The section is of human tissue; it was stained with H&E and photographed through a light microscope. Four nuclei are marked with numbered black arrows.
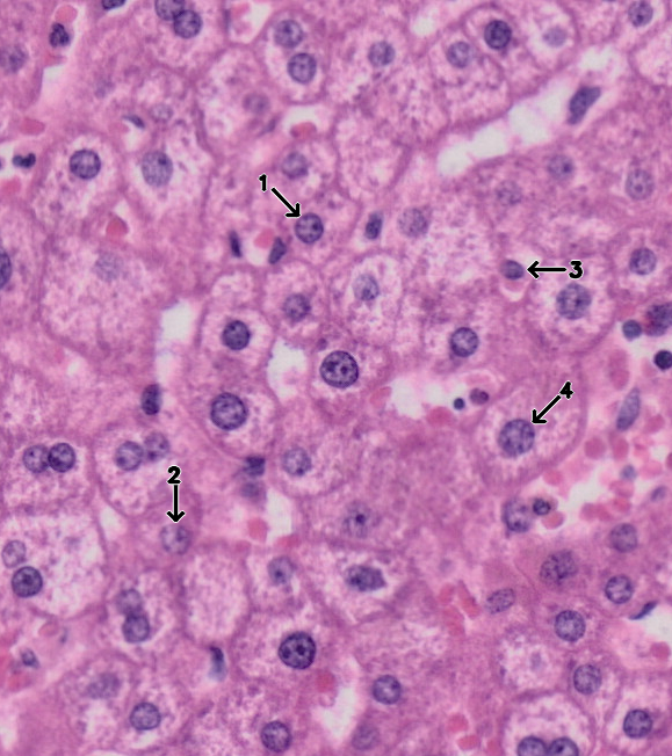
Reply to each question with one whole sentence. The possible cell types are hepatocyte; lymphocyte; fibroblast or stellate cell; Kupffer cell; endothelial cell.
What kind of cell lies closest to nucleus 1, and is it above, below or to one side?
The nearest nucleus is that of an endothelial cell and lies below and to the left of nucleus 1.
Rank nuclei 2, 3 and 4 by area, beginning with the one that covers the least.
Smallest first, the nuclei run 3, 2, 4.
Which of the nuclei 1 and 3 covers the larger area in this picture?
Nucleus 1 covers more area, about 2 times as much as nucleus 3.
